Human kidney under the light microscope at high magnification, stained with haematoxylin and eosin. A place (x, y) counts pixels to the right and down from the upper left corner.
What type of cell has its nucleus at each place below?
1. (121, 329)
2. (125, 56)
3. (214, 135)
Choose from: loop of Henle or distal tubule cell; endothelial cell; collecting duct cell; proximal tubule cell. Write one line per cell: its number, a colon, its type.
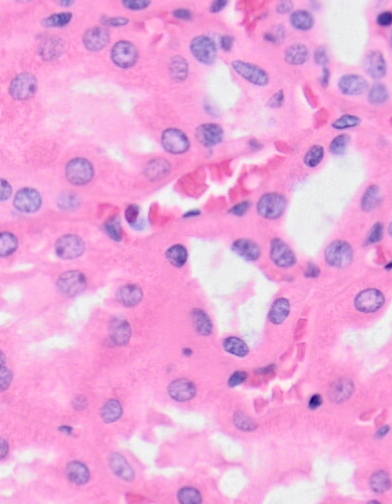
1: proximal tubule cell
2: proximal tubule cell
3: collecting duct cell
